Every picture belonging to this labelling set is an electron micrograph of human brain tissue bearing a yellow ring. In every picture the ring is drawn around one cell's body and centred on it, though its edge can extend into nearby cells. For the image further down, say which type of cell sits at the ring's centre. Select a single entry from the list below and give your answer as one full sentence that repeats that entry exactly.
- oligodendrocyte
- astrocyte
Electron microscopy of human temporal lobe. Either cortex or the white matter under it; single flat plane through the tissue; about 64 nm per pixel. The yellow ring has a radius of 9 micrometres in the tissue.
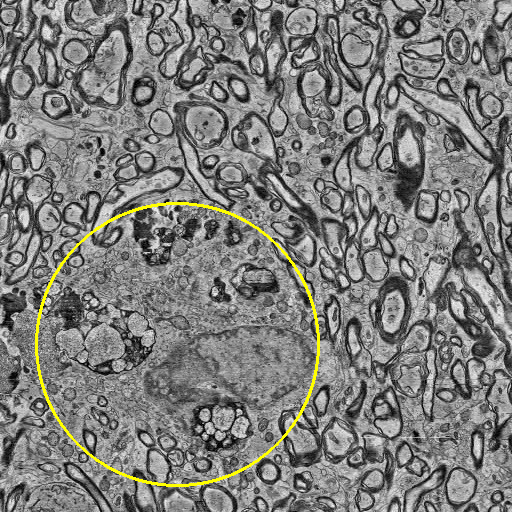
In the picture, an astrocyte is the cell at the centre of the yellow ring.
